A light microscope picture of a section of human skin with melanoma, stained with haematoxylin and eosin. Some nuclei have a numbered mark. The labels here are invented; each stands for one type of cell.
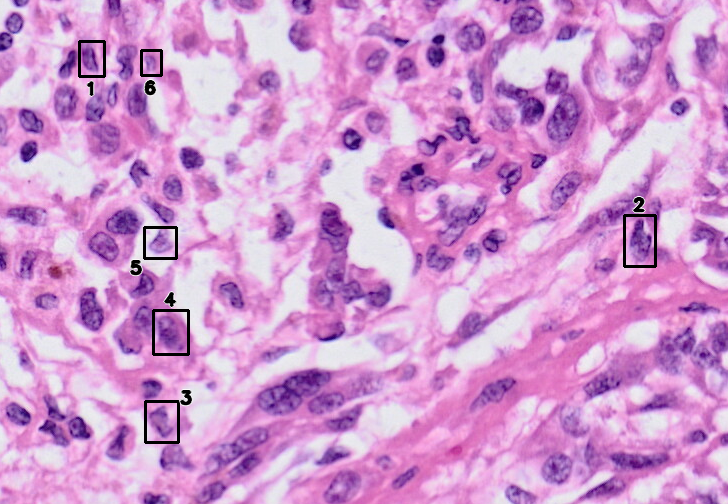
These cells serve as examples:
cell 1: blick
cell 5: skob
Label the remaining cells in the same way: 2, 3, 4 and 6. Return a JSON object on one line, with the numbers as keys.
{"2": "skob", "3": "blick", "4": "skob", "6": "blick"}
